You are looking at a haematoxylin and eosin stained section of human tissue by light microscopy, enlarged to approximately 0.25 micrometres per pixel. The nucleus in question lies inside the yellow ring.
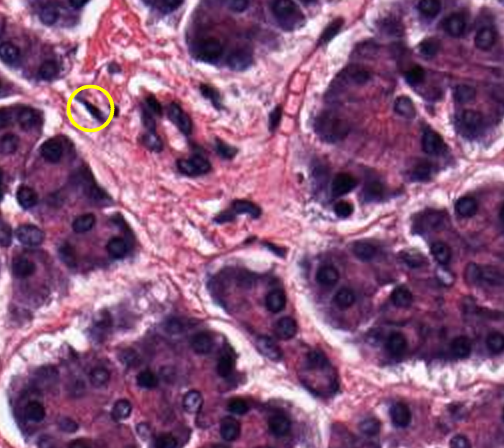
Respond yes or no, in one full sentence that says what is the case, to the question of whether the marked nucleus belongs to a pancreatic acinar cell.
No, the marked nucleus is not the nucleus of a pancreatic acinar cell but of a supporting cell.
